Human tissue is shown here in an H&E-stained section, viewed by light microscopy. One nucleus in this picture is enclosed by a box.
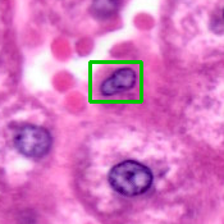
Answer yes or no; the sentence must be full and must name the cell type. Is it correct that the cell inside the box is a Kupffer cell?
Yes, a Kupffer cell is the identity of the cell inside the box in this section.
